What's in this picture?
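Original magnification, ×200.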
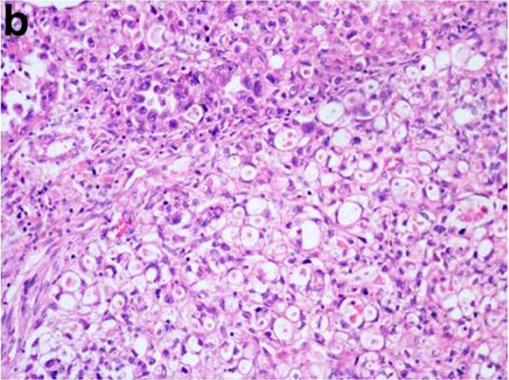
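Sheets of tumor cells, many signet ring-like with a large clear cytoplasmic vacuole. Some vacuoles contain a small central pink or bluish droplet, giving a target-like look. Nuclei are pushed to the edge of the vacuolated cells and vary in size. Toward the upper left the cells are more solid and pink with crowded nuclei.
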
